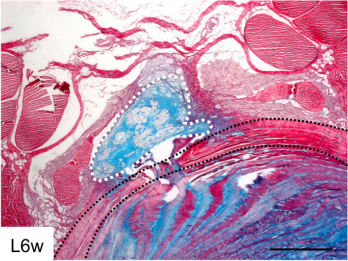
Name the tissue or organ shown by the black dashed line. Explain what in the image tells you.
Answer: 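The dashed line follows the curve of these lamellae. On this evidence: annulus fibrosus.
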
